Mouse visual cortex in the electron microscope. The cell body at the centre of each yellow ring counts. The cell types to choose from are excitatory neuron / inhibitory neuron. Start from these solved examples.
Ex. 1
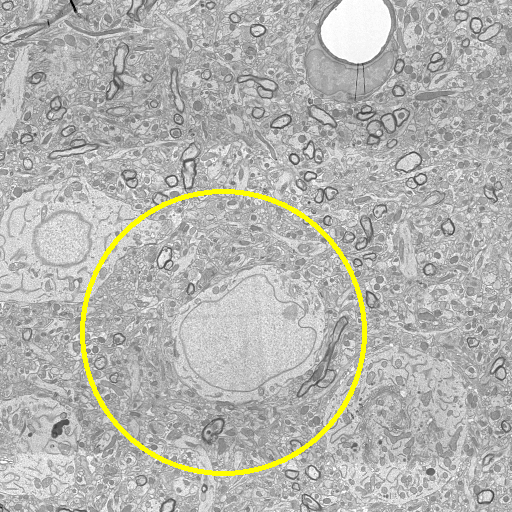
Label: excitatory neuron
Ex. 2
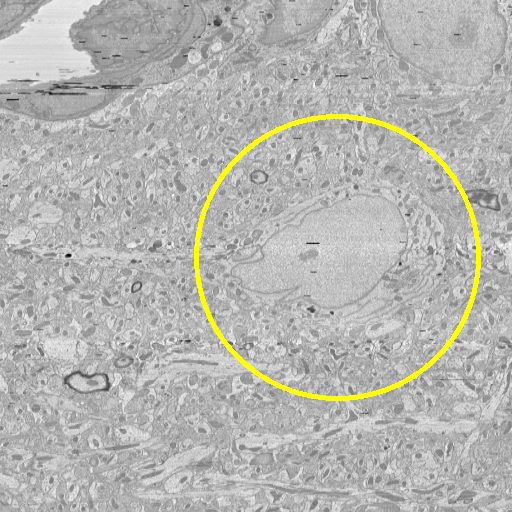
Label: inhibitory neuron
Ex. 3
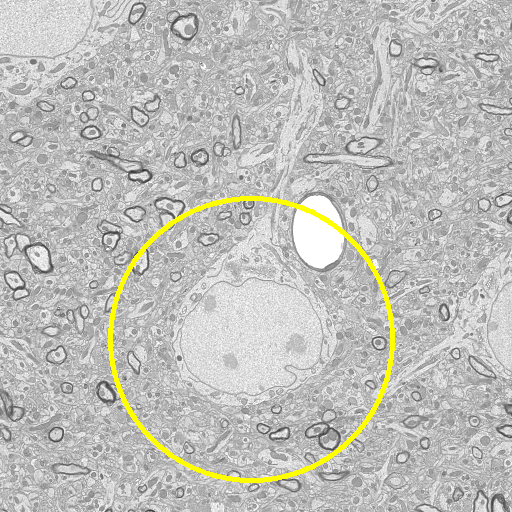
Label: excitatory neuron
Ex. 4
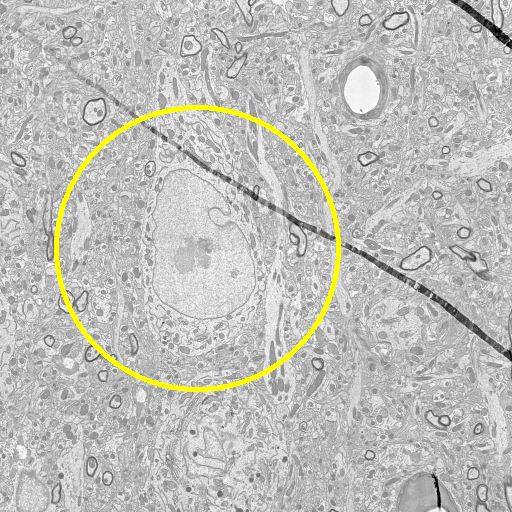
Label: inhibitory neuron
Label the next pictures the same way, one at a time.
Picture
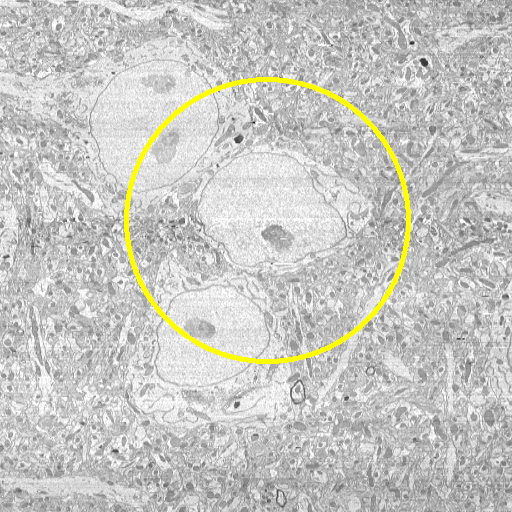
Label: inhibitory neuron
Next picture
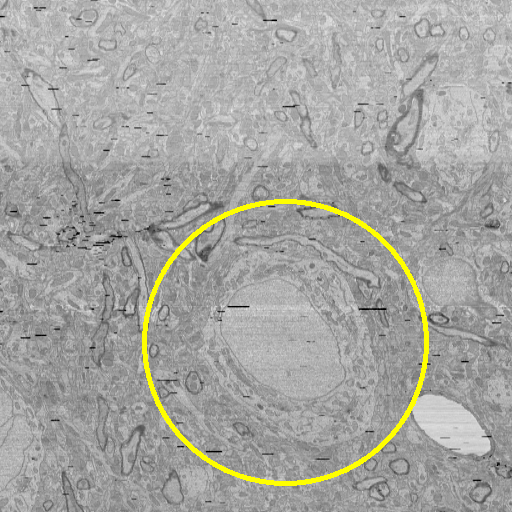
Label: inhibitory neuron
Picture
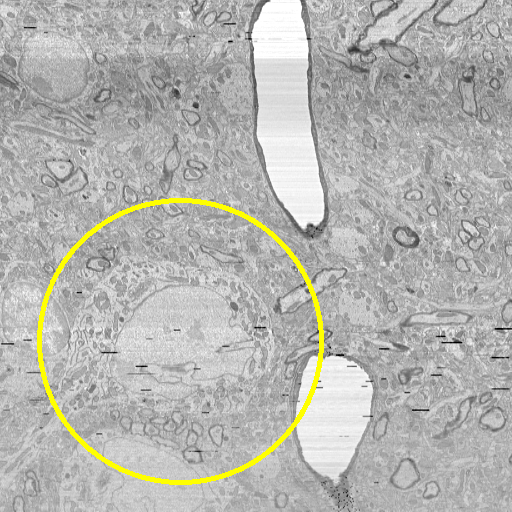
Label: inhibitory neuron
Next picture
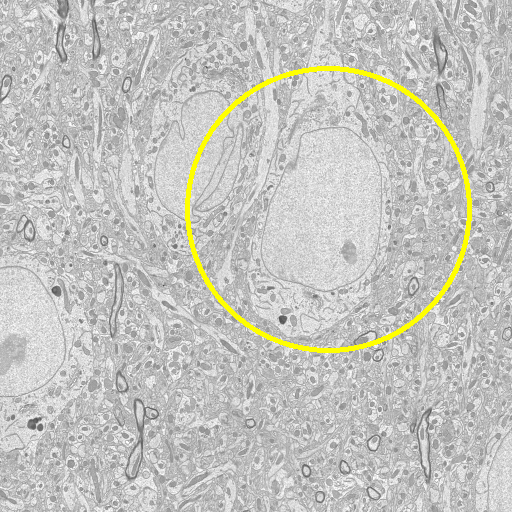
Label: excitatory neuron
